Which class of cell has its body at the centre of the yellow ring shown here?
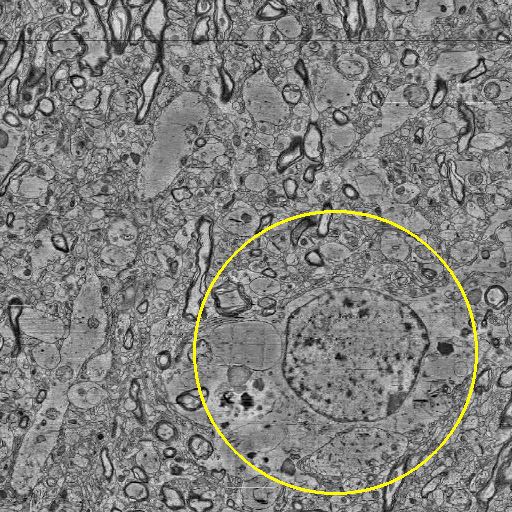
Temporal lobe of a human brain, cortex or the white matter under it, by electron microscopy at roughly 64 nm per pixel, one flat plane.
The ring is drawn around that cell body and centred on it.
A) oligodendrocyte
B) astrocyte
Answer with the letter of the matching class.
B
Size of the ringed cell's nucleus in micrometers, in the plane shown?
The ringed cell's nucleus is about 9 micrometres across in this plane.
